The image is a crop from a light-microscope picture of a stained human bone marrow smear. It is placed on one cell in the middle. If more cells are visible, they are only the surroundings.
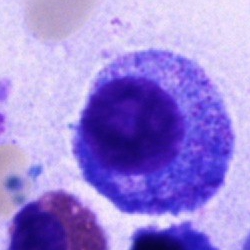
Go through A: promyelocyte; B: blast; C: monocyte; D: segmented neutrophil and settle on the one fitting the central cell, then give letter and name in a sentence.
Option A is correct, and the cell in the centre is a promyelocyte.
